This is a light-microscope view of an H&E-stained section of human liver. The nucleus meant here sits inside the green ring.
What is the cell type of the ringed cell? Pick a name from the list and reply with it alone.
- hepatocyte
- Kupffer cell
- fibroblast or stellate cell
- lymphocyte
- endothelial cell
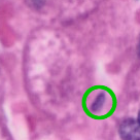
lymphocyte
